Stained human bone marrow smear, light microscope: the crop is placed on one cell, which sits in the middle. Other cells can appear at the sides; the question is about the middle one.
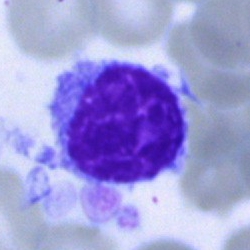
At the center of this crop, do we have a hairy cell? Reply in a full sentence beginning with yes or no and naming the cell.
Yes, the cell that lies centrally is a hairy cell.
